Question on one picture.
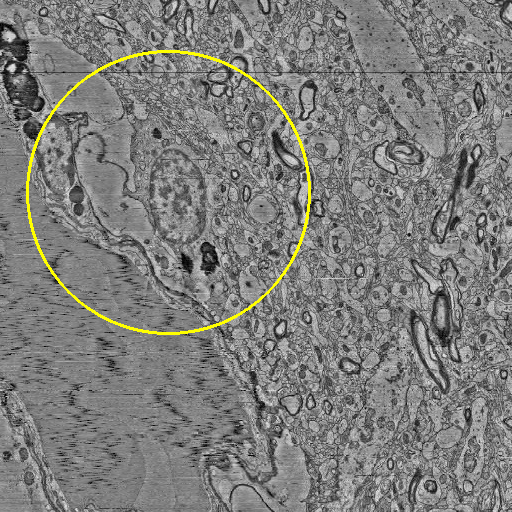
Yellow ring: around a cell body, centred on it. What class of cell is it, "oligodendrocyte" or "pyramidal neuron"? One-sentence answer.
This is an oligodendrocyte, the cell the ring is centred on.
